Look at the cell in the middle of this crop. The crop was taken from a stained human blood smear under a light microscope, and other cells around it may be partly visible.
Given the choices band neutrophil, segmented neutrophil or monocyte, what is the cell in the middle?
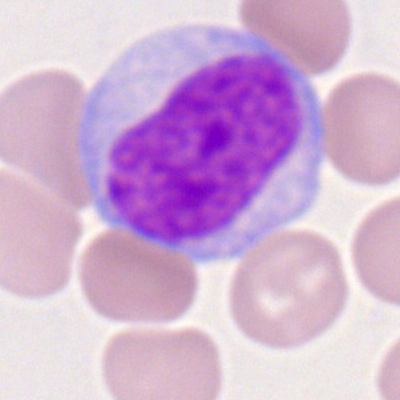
monocyte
